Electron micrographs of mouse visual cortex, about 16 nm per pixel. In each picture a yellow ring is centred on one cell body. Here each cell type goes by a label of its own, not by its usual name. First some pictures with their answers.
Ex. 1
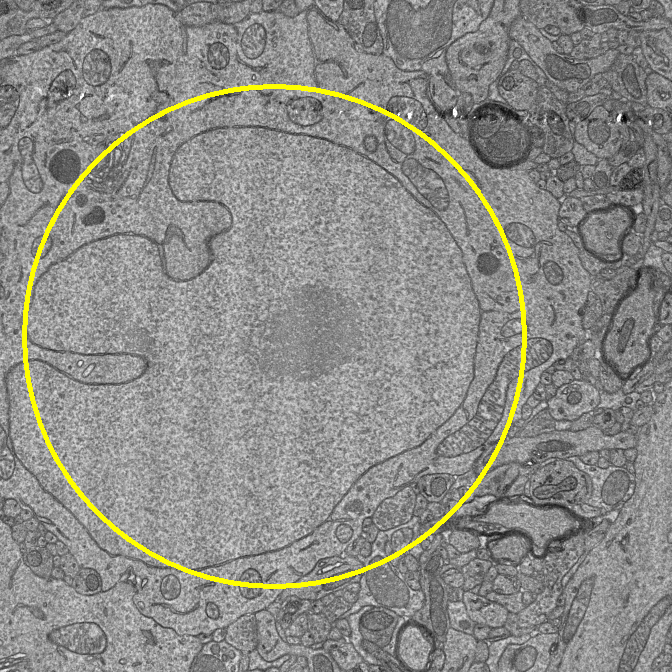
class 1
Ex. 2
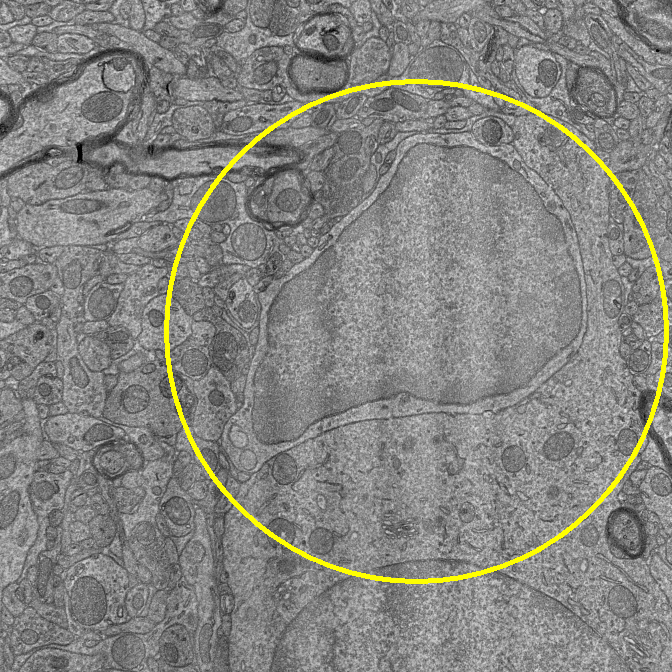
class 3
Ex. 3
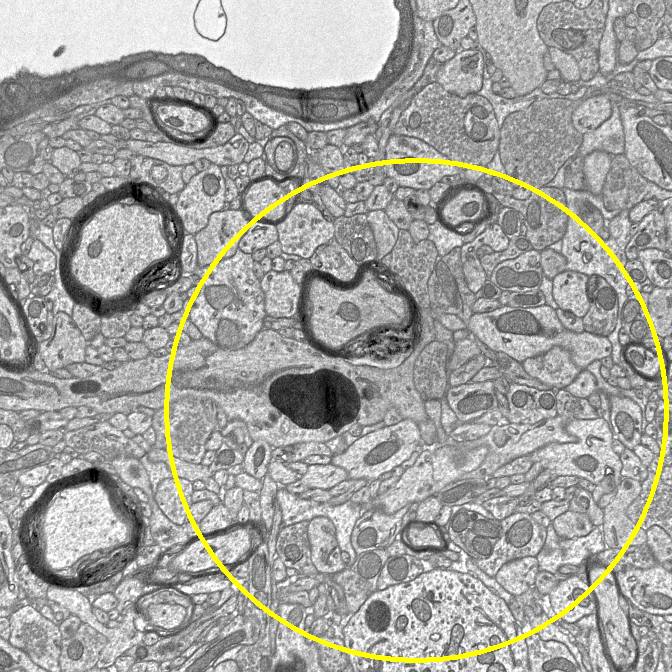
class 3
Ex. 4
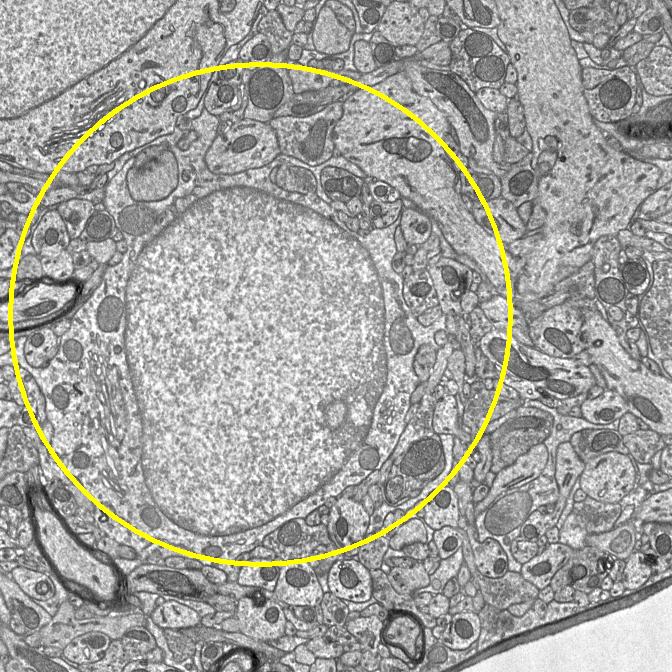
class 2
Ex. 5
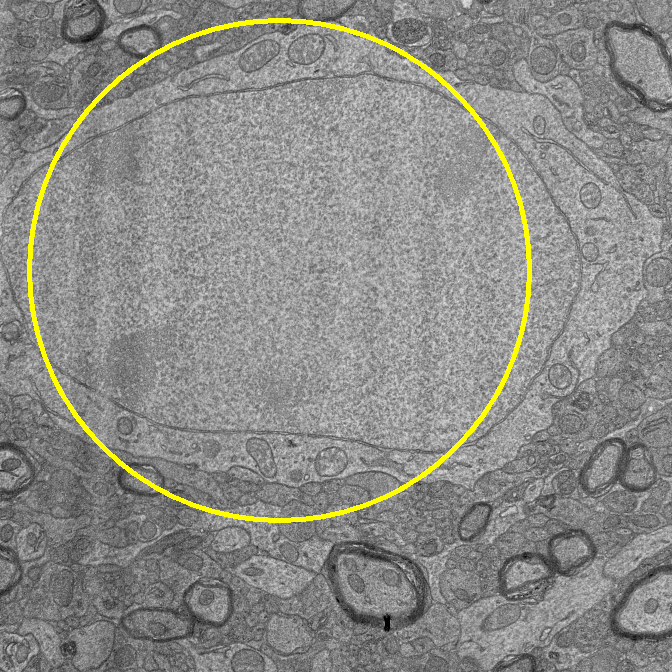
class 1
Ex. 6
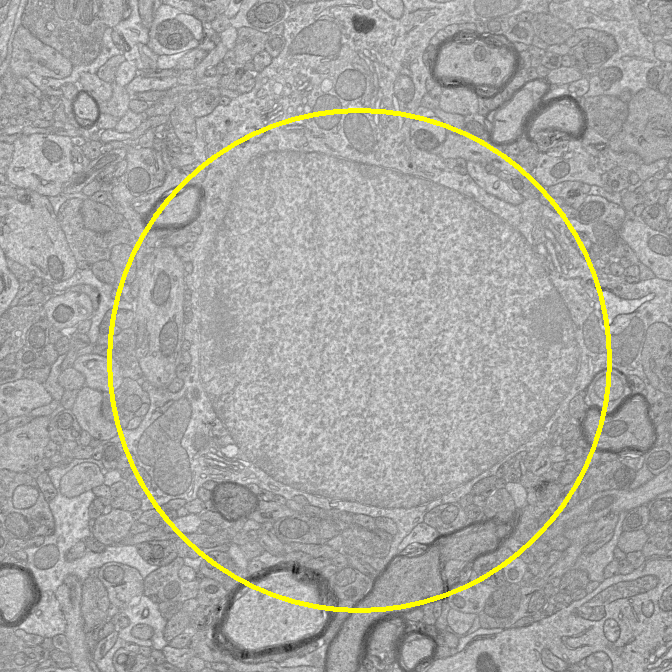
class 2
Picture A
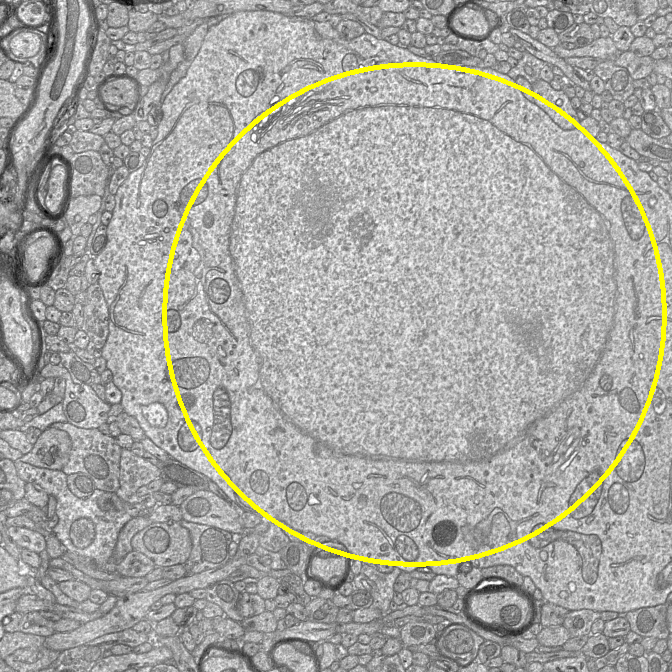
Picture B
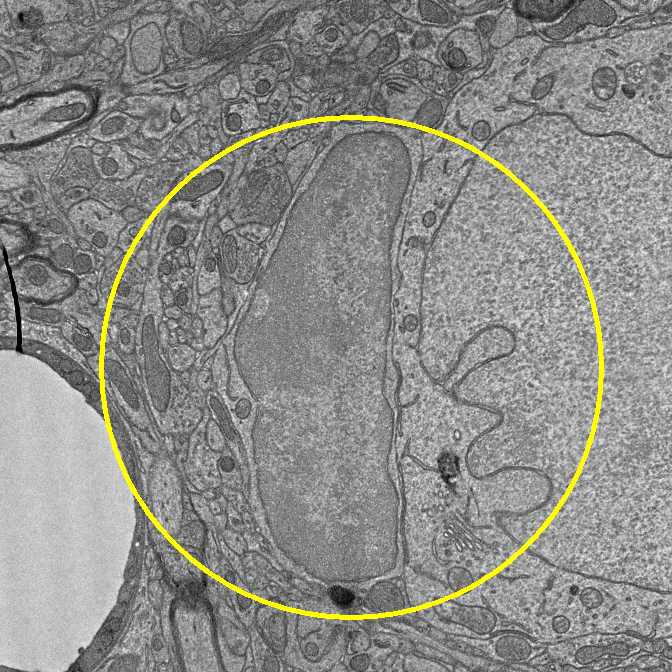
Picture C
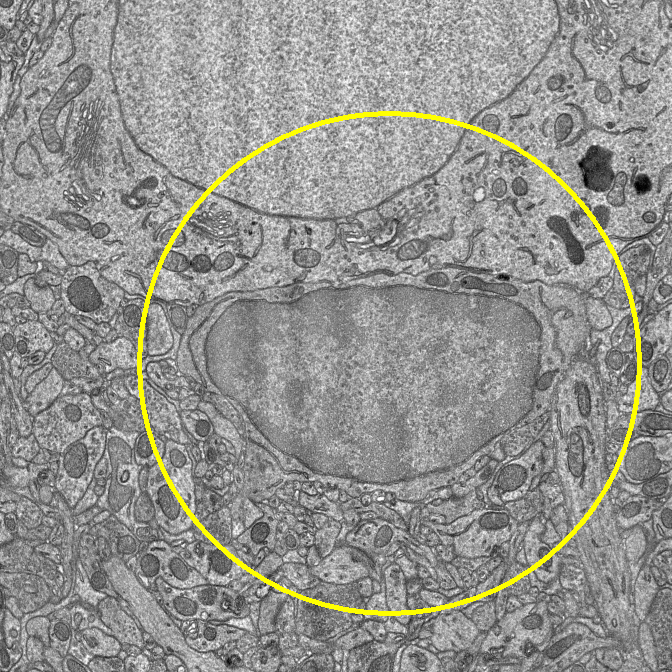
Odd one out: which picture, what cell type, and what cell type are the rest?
Picture A: class 1. All others: class 3.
